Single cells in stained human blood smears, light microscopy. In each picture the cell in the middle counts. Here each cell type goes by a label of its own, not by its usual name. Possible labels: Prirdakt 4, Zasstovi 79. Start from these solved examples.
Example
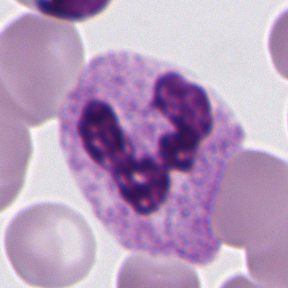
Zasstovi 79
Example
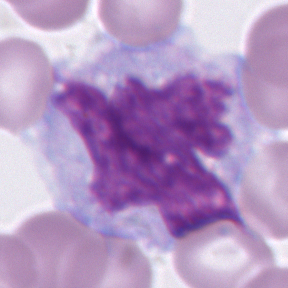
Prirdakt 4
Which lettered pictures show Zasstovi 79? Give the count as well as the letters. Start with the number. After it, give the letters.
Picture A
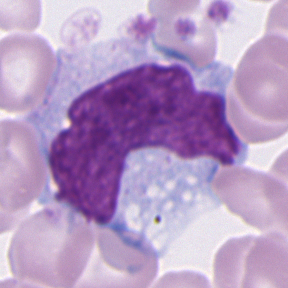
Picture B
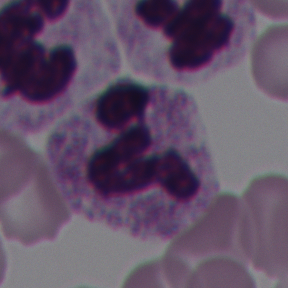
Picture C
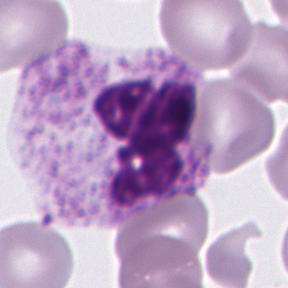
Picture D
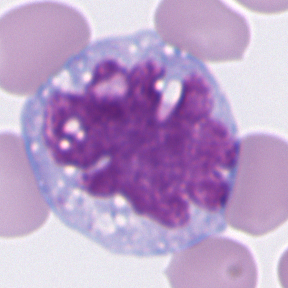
2: B, C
